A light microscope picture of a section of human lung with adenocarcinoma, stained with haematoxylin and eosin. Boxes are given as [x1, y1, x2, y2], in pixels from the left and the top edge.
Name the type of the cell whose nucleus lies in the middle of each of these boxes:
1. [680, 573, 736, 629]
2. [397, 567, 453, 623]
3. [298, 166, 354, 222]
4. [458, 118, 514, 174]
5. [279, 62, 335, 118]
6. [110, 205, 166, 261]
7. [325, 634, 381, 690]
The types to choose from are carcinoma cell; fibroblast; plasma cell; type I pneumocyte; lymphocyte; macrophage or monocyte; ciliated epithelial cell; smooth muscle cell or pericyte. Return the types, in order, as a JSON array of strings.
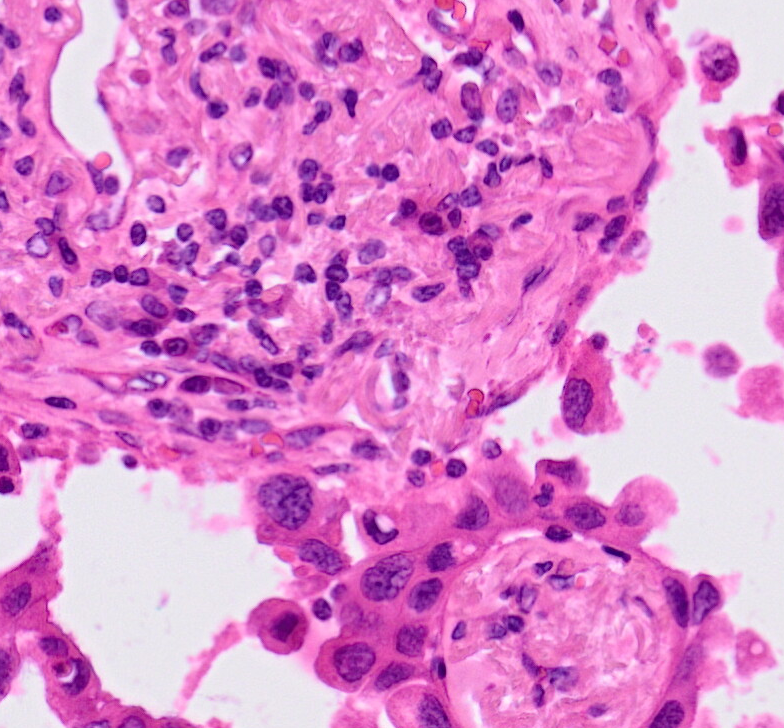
["carcinoma cell", "carcinoma cell", "lymphocyte", "lymphocyte", "lymphocyte", "lymphocyte", "carcinoma cell"]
